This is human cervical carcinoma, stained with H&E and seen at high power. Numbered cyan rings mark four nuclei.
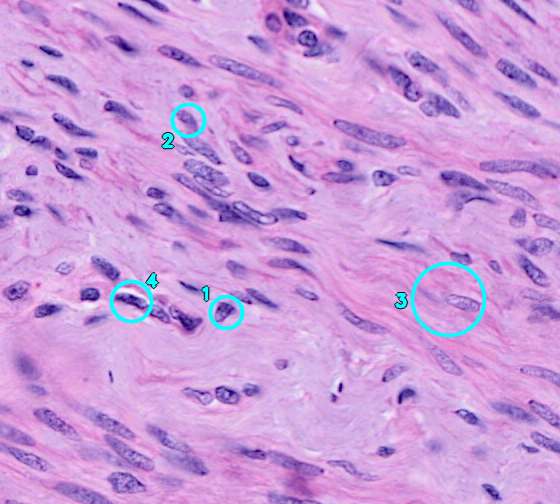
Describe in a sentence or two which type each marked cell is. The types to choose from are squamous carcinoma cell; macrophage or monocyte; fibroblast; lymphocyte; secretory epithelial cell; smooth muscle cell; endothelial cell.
Cell 1 is a fibroblast. Cells 2 and 3 are smooth muscle cells. Cell 4 is an endothelial cell.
